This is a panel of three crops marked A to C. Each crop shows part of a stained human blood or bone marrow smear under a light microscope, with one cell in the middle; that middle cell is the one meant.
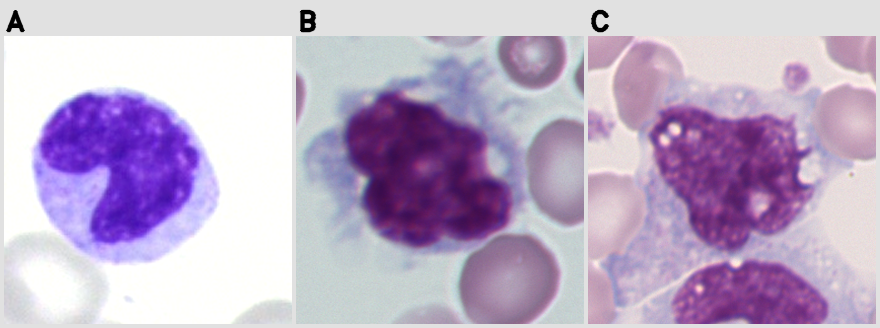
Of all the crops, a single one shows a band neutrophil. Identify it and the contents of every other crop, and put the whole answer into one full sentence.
Crop A shows a band neutrophil, and as for the other crops, crop B is a hairy cell and crop C is a monocyte.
